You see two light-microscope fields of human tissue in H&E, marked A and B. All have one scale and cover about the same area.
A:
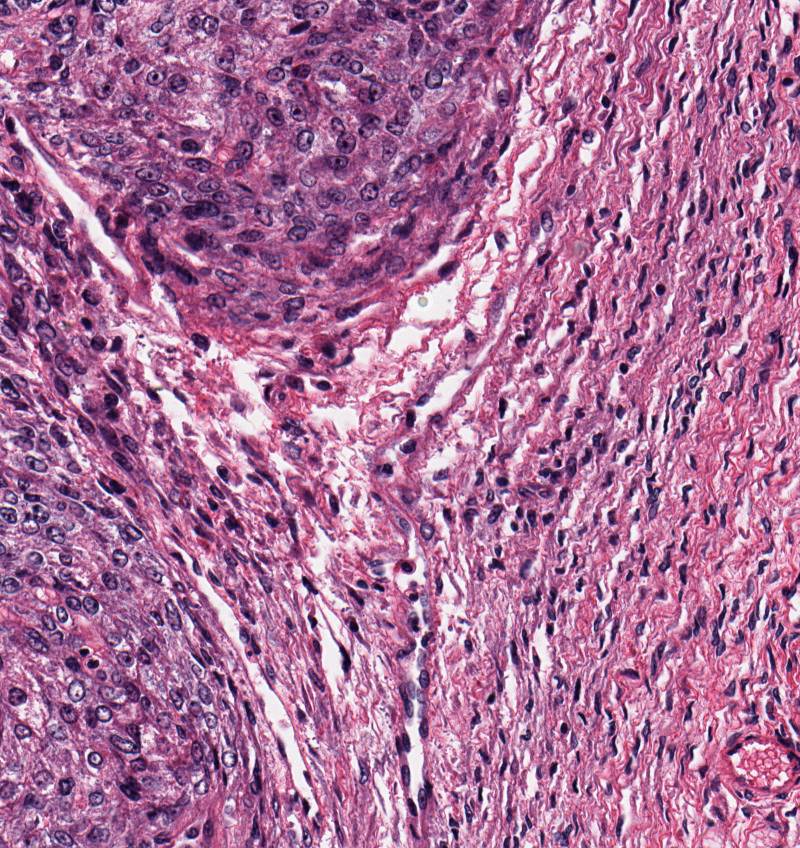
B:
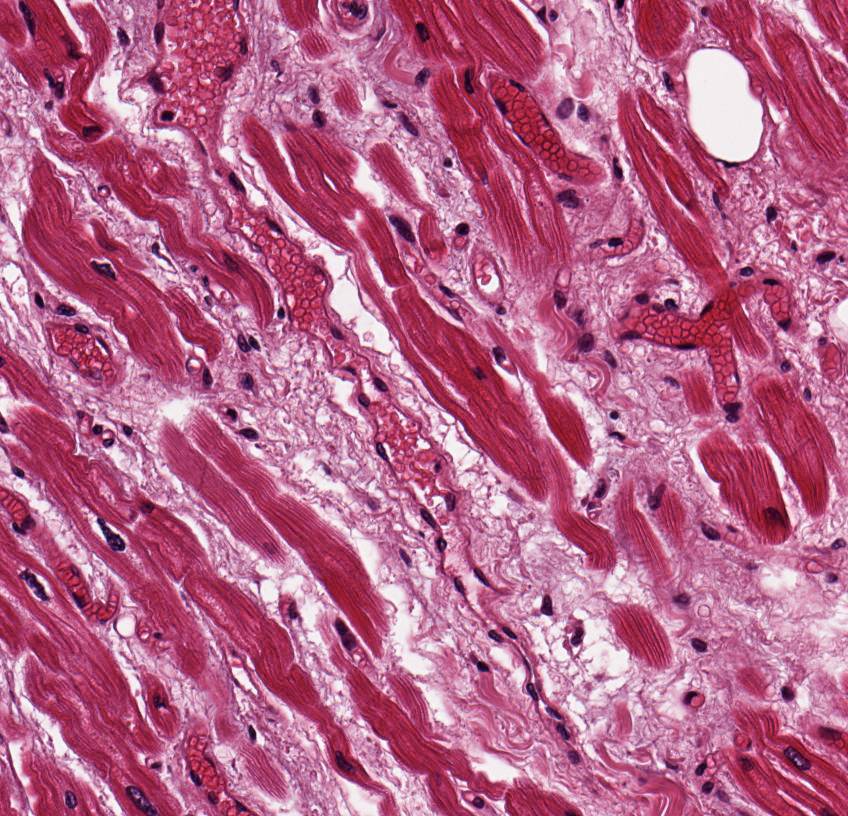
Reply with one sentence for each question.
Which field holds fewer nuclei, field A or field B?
There are fewer nuclei in field B.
